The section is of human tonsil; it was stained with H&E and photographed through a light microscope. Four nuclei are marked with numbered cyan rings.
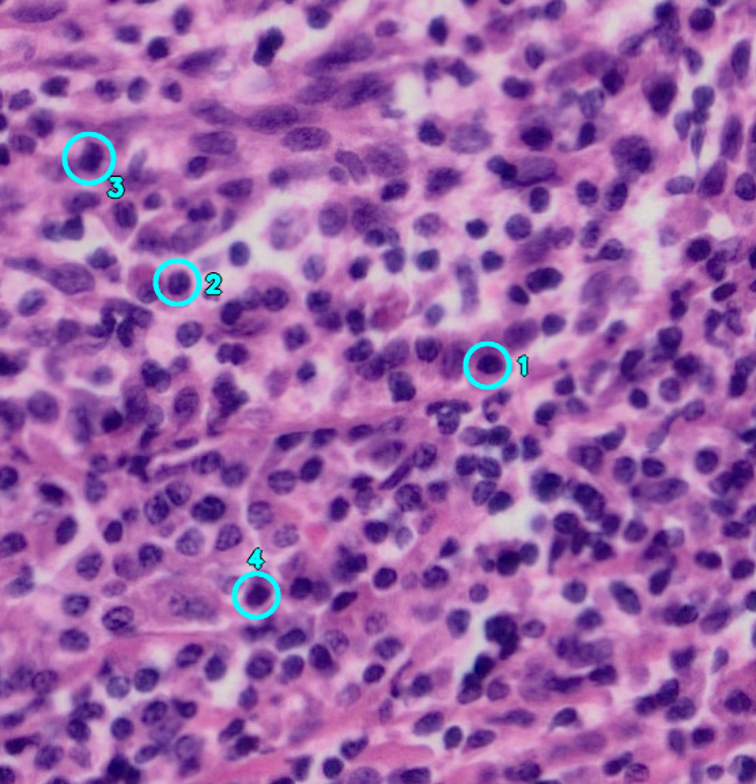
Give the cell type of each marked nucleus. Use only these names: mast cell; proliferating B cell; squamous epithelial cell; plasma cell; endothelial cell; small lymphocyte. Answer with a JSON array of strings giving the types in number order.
["plasma cell", "plasma cell", "squamous epithelial cell", "plasma cell"]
